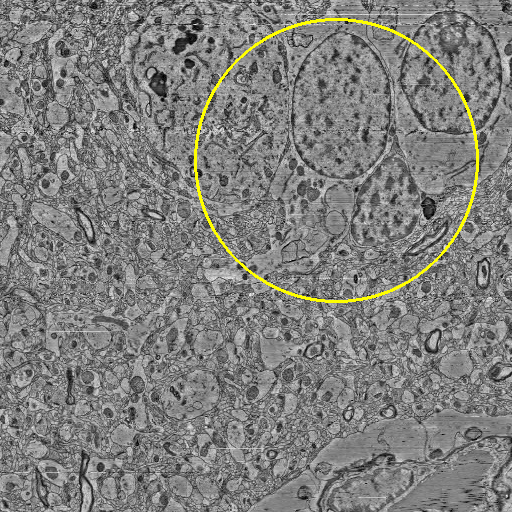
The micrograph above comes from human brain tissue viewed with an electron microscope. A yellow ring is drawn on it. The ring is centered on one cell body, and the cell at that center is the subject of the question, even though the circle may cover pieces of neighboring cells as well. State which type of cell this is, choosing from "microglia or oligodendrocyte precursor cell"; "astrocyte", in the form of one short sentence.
The cell the ring is centered on is an astrocyte.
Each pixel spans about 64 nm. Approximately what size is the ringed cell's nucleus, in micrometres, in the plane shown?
In this plane the nucleus is clearly longer than it is wide, at approximately 10 by 6 micrometres.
